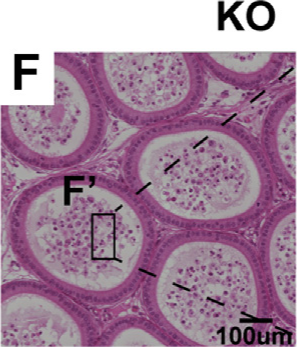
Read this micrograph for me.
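The lumens are wide and pale and contain loosely scattered round cells with dark purple nuclei instead of a dense mass of sperm. Pink wisps of material lie between the round cells. Thin bands of connective tissue separate the neighbouring ducts.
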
